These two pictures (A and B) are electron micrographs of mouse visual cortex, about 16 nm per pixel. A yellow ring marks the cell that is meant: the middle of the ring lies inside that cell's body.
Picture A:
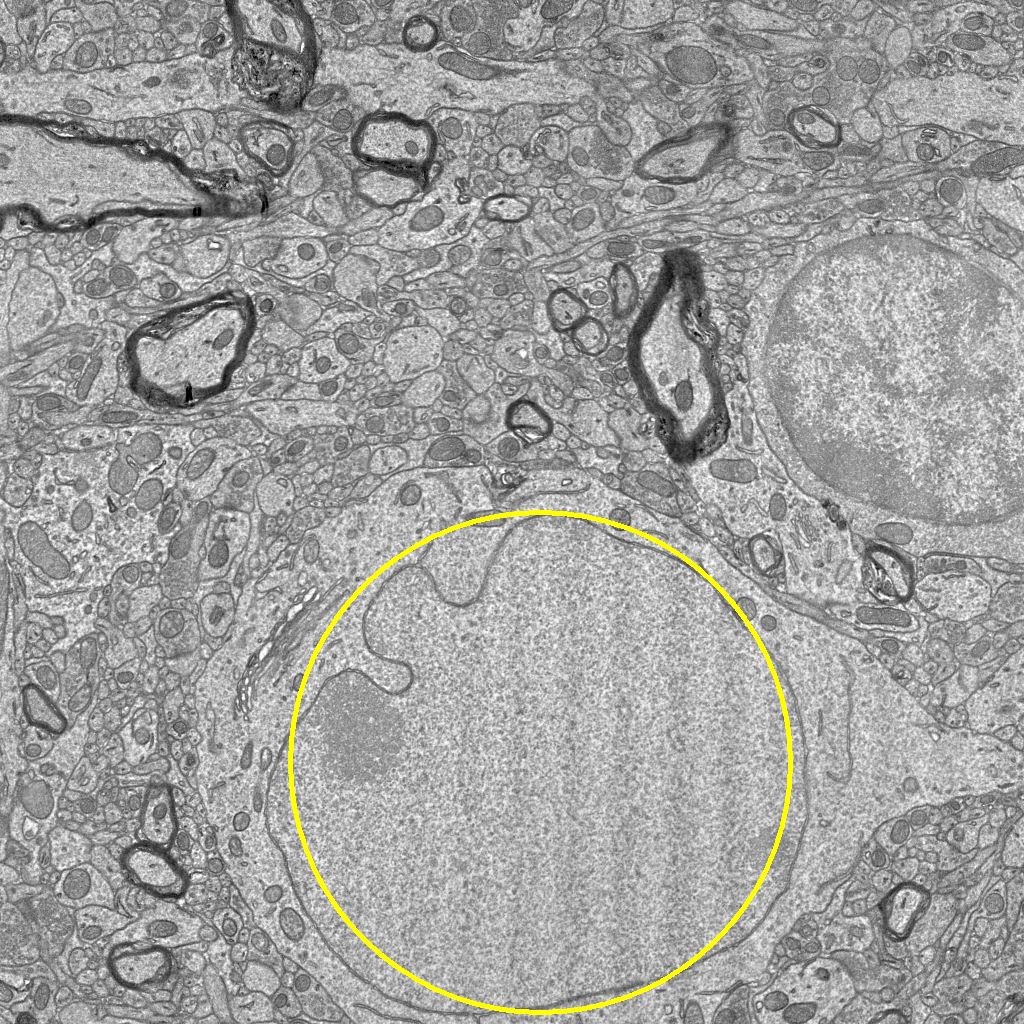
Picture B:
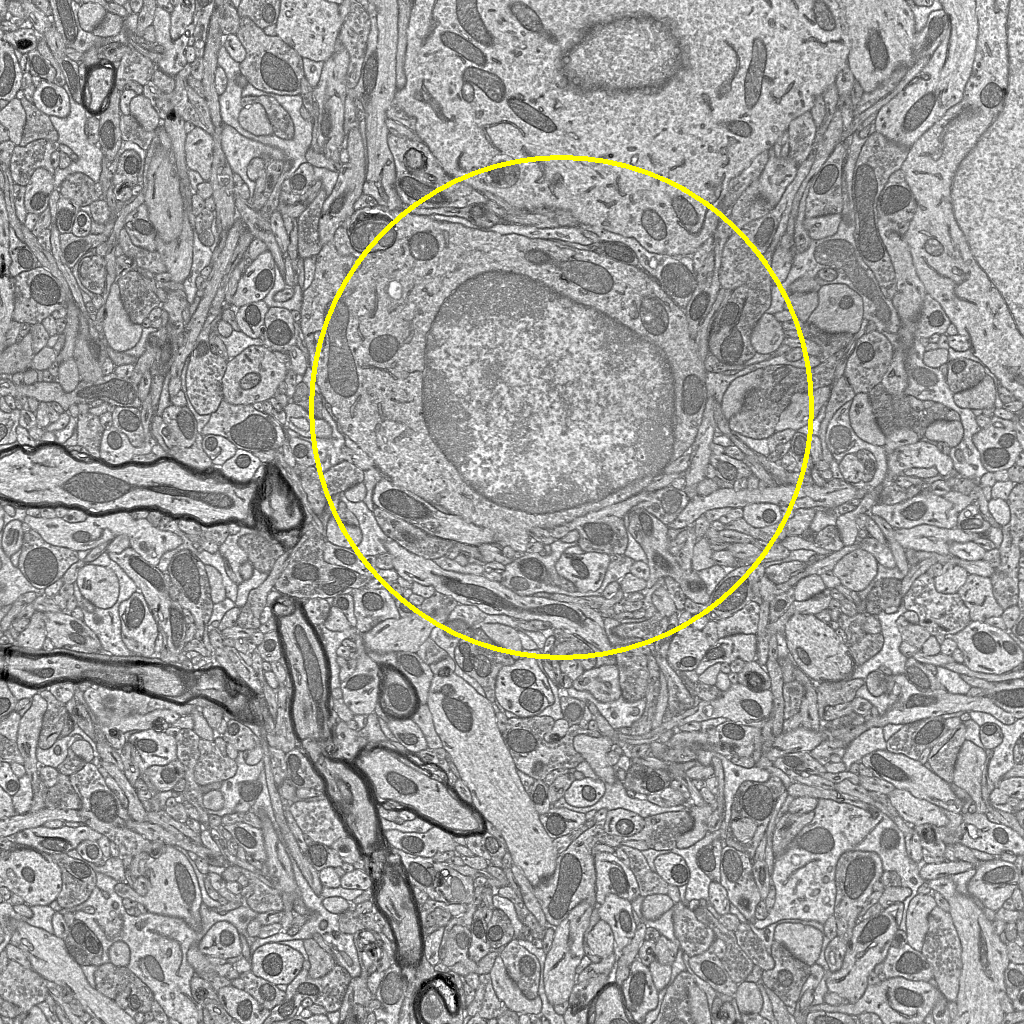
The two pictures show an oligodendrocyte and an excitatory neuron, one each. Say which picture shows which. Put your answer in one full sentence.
In picture A the cell is an excitatory neuron; in picture B, an oligodendrocyte.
